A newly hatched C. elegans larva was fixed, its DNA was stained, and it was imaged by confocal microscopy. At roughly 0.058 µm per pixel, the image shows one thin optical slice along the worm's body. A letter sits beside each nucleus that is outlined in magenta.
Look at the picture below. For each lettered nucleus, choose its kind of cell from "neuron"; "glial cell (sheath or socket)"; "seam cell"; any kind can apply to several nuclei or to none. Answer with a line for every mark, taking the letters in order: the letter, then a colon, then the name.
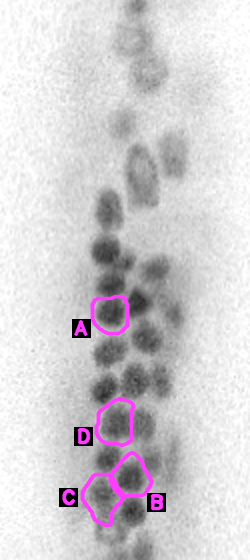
A: neuron
B: neuron
C: seam cell
D: neuron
